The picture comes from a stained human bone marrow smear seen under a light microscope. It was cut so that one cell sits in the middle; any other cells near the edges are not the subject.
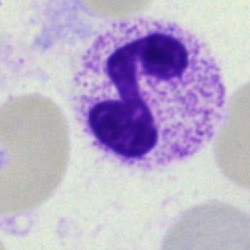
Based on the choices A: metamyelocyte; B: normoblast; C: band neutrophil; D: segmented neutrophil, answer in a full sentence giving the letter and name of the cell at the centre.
Option D gives the correct identity of the central cell, namely a segmented neutrophil.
